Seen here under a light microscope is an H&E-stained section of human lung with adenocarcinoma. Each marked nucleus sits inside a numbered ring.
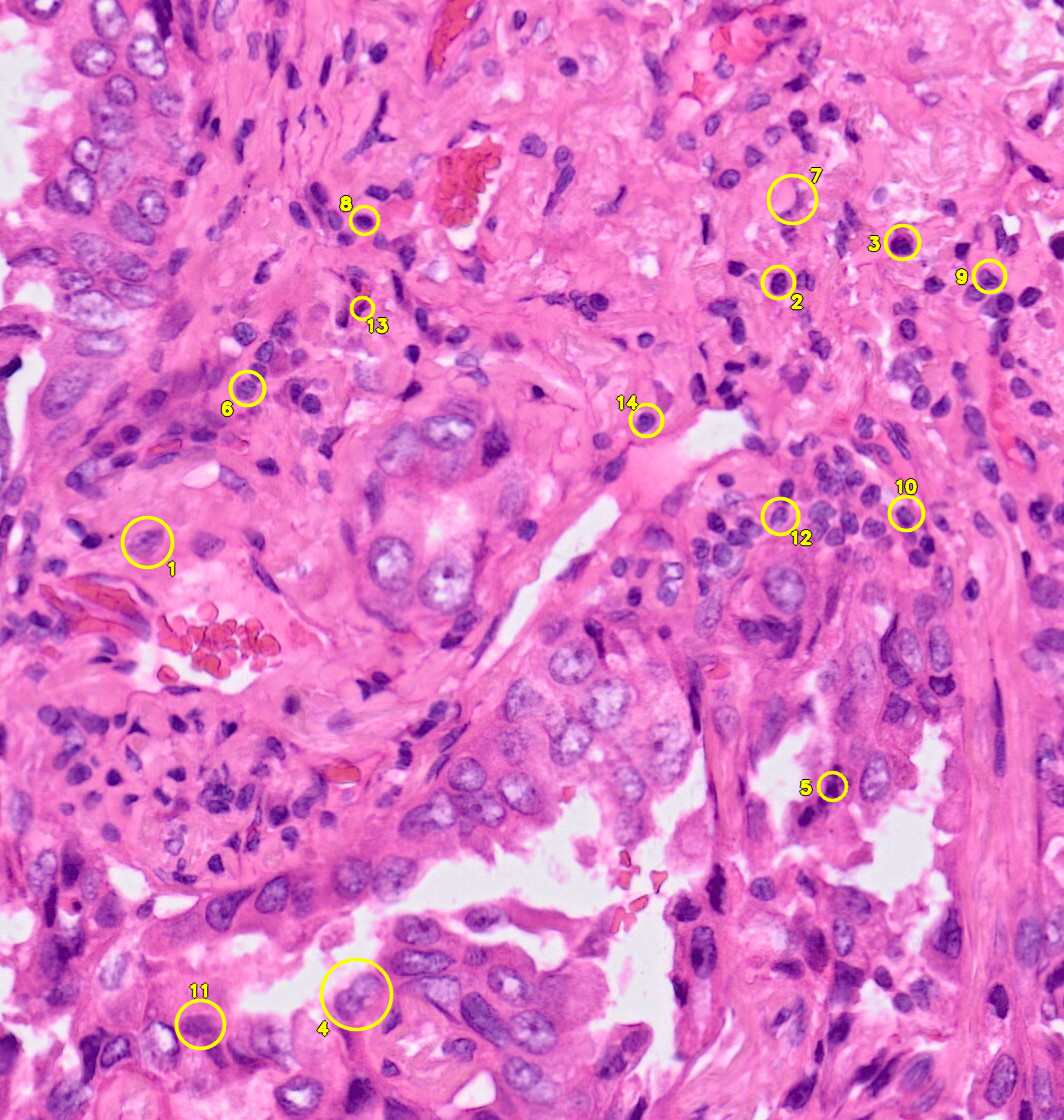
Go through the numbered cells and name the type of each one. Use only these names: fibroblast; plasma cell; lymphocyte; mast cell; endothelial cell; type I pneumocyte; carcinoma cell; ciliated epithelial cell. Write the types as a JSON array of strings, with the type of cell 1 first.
["fibroblast", "lymphocyte", "plasma cell", "carcinoma cell", "carcinoma cell", "lymphocyte", "fibroblast", "lymphocyte", "lymphocyte", "lymphocyte", "carcinoma cell", "lymphocyte", "endothelial cell", "lymphocyte"]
